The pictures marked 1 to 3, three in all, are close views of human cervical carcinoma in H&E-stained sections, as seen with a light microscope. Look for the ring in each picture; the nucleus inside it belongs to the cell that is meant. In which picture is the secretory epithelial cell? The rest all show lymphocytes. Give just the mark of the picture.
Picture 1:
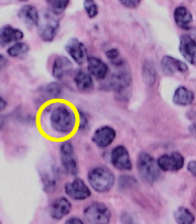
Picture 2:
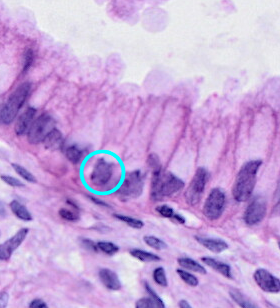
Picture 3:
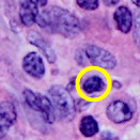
2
